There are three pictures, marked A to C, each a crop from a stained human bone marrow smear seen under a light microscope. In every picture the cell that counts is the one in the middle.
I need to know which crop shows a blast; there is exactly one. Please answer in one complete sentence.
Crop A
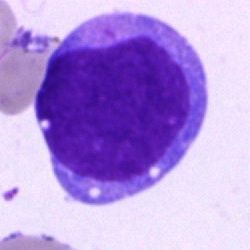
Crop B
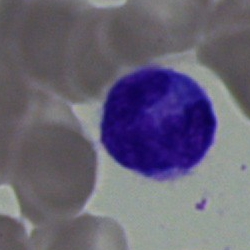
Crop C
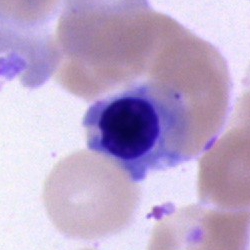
Among these crops, crop A holds a blast.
